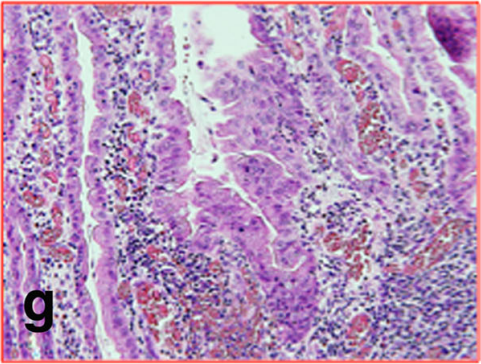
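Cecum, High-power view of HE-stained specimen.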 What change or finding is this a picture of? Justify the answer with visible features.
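Epithelial serration. The epithelial lining of the glands has a saw-tooth, infolded luminal outline. Tall columnar epithelial cells line elongated glandular structures.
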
